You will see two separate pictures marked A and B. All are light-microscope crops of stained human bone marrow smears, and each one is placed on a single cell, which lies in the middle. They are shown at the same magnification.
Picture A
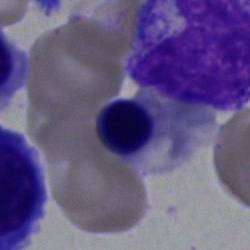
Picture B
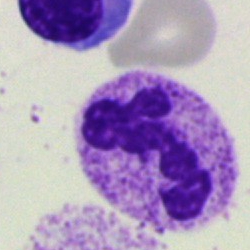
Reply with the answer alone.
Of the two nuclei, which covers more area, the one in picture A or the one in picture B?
B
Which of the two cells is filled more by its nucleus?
A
